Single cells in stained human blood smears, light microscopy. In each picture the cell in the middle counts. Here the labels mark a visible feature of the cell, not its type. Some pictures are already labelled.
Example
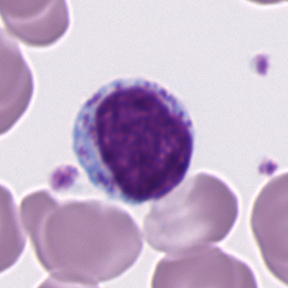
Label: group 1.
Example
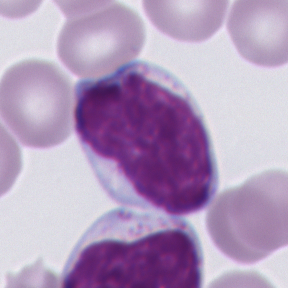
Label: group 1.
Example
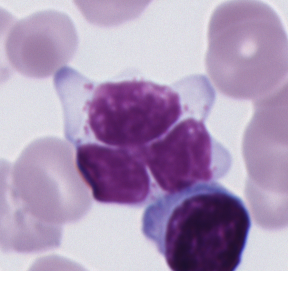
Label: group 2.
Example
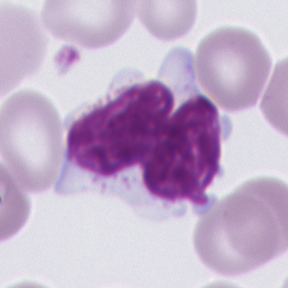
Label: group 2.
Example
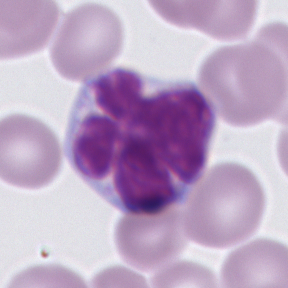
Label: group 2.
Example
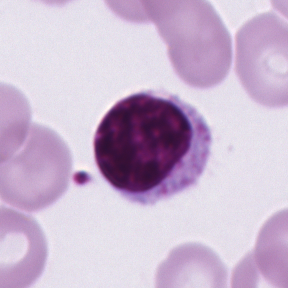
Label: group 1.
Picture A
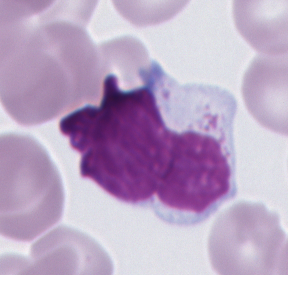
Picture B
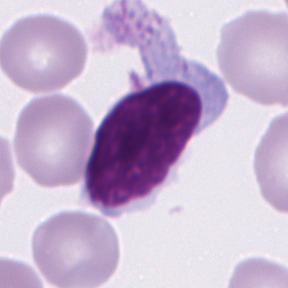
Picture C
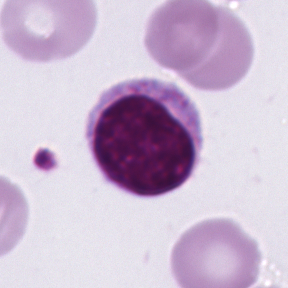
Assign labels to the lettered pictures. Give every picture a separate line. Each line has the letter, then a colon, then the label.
A: group 2.
B: group 1.
C: group 1.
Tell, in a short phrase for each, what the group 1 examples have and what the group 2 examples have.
Seen in group 1: single compact nucleus; seen in group 2: lobed nucleus.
